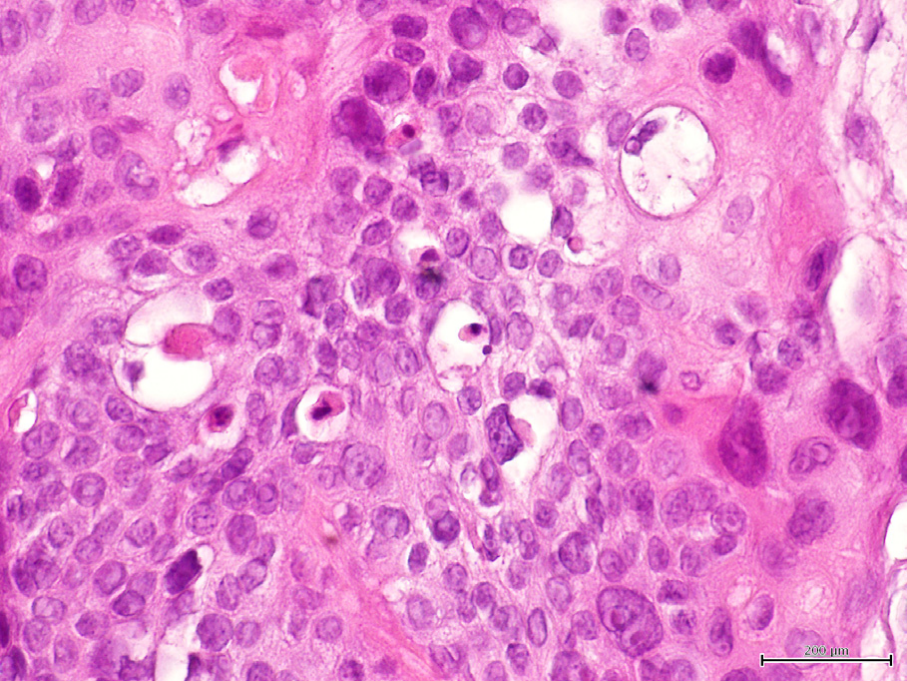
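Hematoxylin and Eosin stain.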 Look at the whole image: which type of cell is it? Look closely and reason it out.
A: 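Crowded, cohesive cells packed closely together in a sheet. Cells have large round to oval nuclei with vesicular chromatin and visible nucleoli. Eosinophilic cytoplasm with indistinct cell borders.
Conclusion: epithelial tumor cells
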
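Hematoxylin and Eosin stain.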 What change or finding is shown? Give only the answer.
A: Cytologic atypia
